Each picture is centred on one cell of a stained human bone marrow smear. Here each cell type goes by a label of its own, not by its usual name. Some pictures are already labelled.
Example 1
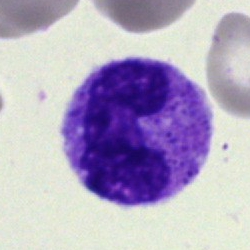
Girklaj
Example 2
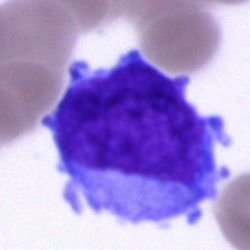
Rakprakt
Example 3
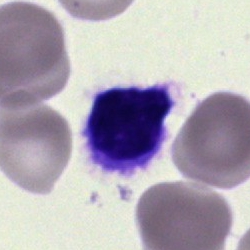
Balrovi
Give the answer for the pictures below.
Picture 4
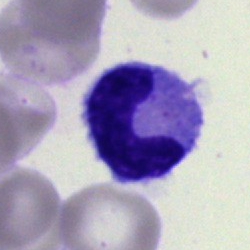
Girklaj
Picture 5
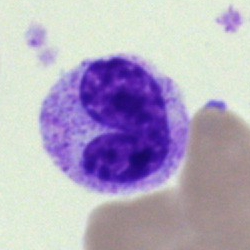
Girklaj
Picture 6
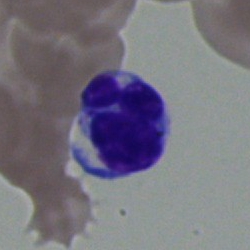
Balrovi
